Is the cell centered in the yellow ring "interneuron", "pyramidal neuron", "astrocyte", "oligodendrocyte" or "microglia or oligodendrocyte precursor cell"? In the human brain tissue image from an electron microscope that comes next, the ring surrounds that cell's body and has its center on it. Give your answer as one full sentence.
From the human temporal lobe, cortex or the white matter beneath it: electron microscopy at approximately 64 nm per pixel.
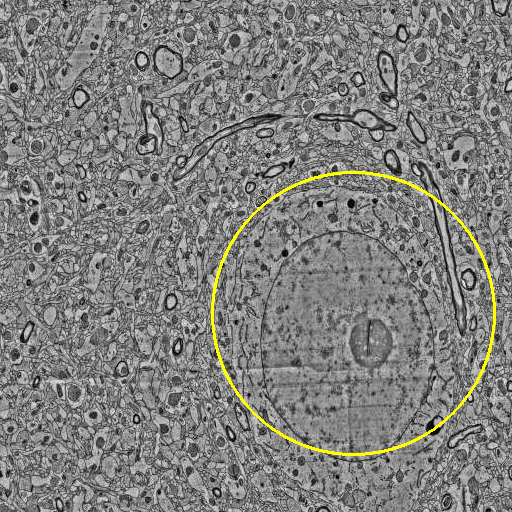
The cell at the center of the yellow ring is a pyramidal neuron in the micrograph.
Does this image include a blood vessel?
No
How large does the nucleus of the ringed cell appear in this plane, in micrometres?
The nucleus has a long axis of about 15 micrometres and a short axis of about 11 micrometres in this plane.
